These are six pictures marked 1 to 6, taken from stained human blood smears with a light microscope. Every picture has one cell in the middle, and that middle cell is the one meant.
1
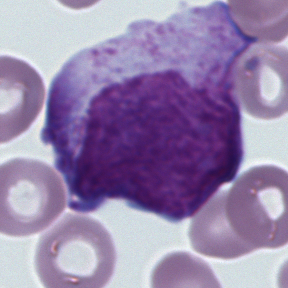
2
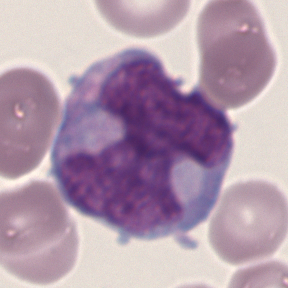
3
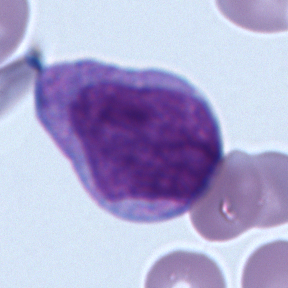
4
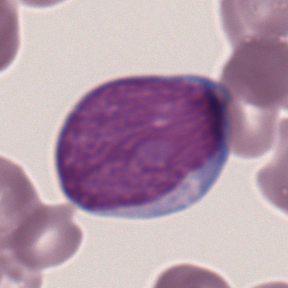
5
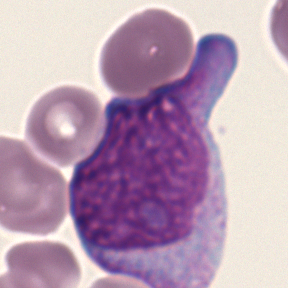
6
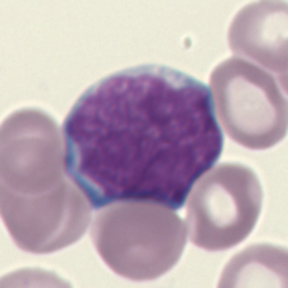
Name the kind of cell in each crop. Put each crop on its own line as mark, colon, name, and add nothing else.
1: atypical promyelocyte
2: atypical promyelocyte
3: atypical promyelocyte
4: myeloblast
5: atypical promyelocyte
6: myeloblast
